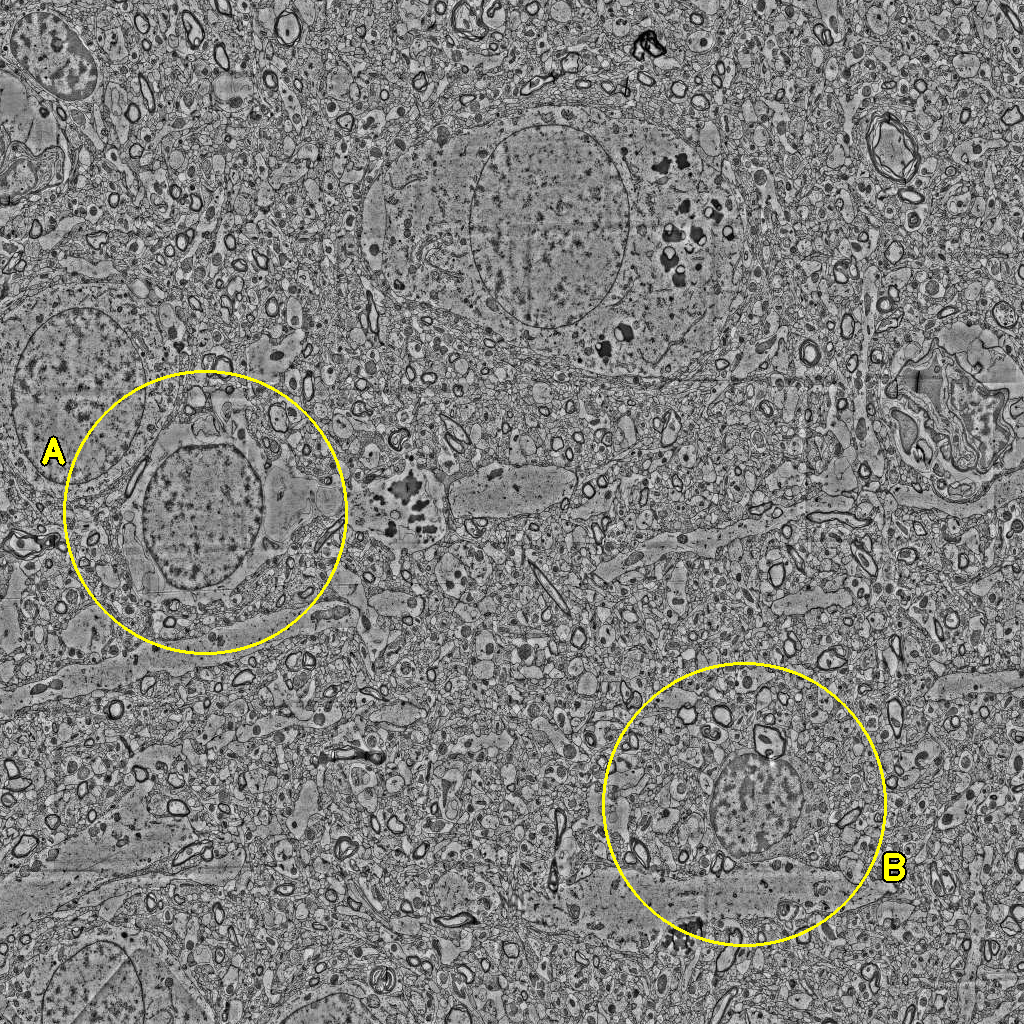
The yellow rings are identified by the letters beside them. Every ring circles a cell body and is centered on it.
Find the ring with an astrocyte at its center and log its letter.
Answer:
A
